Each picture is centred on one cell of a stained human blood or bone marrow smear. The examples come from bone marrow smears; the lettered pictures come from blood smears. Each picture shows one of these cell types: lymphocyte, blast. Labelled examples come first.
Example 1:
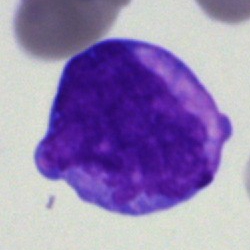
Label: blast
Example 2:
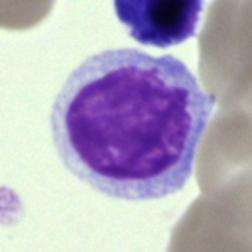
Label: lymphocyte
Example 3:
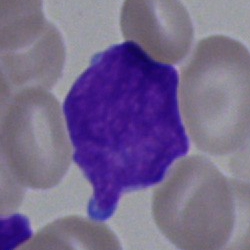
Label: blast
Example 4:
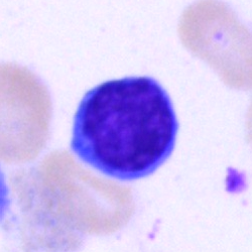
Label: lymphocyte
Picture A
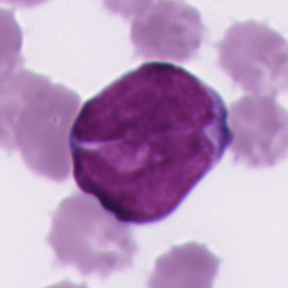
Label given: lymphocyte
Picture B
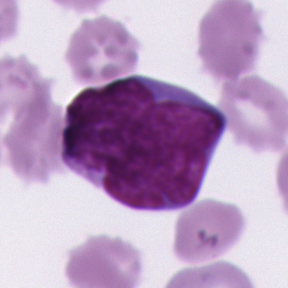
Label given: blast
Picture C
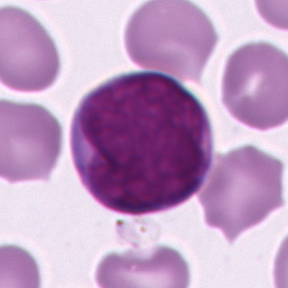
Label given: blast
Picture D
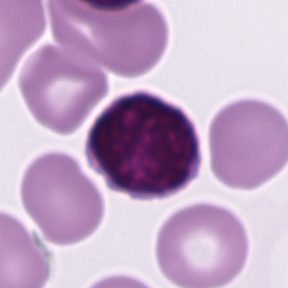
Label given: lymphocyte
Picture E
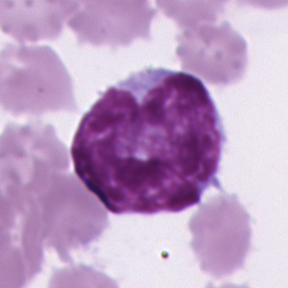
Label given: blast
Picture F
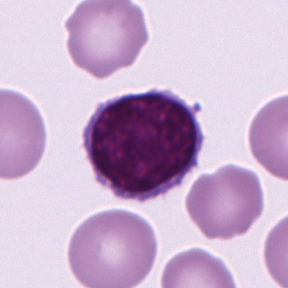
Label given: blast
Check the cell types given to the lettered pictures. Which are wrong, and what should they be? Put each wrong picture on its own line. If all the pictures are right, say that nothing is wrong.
A: blast, not lymphocyte
F: lymphocyte, not blast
